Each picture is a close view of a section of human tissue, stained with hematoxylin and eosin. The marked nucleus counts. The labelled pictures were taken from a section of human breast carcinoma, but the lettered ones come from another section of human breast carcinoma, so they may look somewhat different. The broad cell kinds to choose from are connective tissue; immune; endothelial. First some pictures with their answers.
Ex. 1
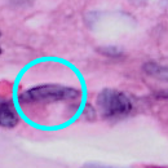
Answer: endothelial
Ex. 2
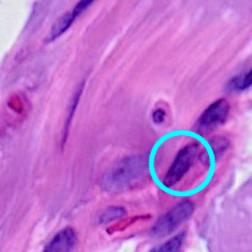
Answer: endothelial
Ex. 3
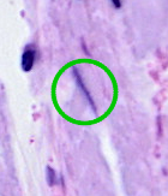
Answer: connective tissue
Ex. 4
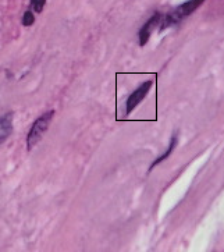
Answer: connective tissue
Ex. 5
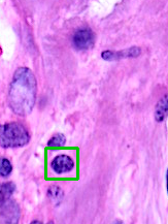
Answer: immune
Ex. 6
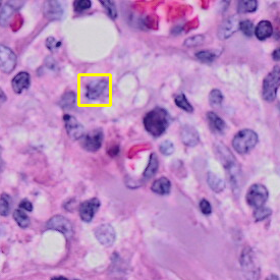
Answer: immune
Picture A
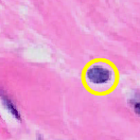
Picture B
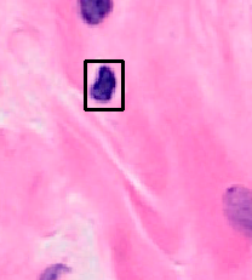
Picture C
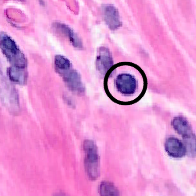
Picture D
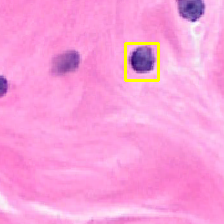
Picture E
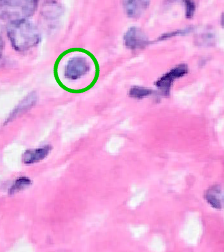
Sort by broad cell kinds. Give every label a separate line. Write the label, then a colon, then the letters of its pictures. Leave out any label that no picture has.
immune: A, B, C, D, E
